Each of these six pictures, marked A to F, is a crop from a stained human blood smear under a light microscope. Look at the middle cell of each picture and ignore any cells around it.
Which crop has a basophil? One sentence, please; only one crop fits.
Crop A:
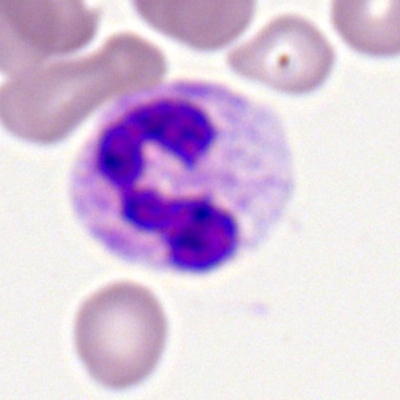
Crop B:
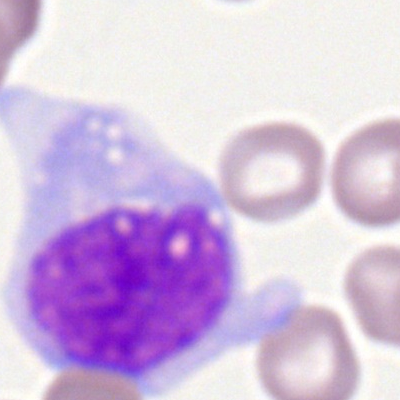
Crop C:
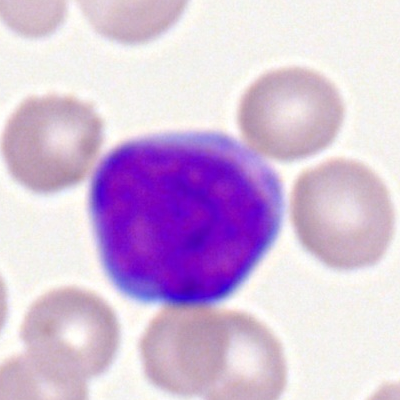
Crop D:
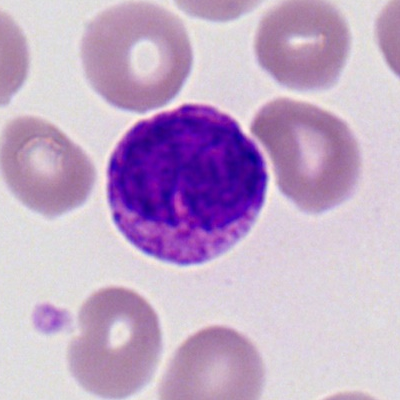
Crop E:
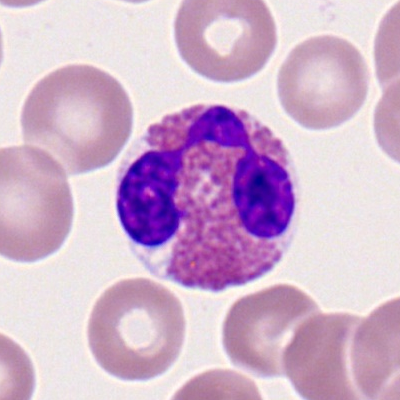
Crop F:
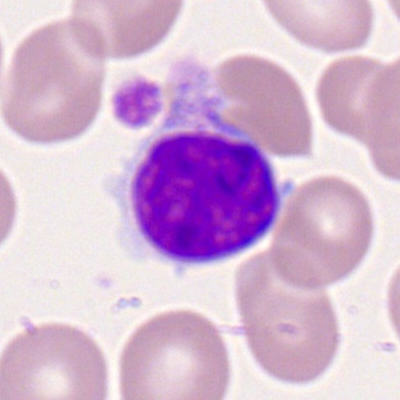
Crop D is the crop whose central cell is a basophil.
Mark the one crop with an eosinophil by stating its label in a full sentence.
Crop E is the one that shows an eosinophil.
